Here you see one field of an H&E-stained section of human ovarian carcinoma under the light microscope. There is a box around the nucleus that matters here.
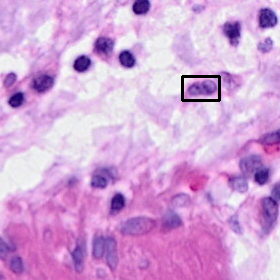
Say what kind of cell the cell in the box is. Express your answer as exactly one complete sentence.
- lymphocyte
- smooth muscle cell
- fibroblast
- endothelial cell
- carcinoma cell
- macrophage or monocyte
As to its cell type, the cell in the box is a macrophage or monocyte.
